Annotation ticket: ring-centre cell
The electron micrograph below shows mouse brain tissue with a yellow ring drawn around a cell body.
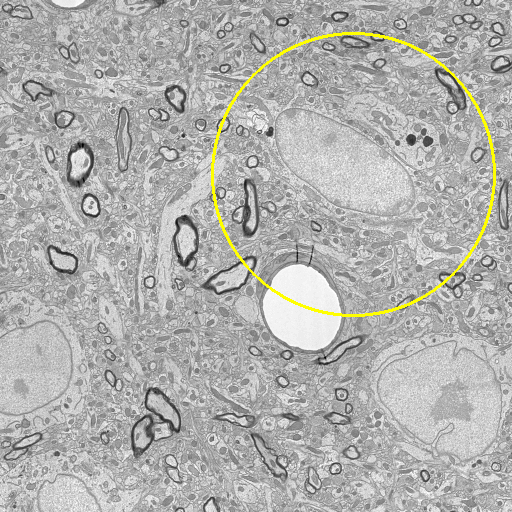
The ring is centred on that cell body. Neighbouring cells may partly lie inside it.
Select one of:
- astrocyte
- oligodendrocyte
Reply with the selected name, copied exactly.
astrocyte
